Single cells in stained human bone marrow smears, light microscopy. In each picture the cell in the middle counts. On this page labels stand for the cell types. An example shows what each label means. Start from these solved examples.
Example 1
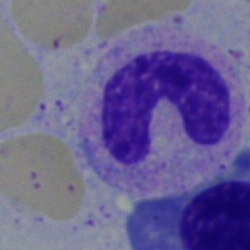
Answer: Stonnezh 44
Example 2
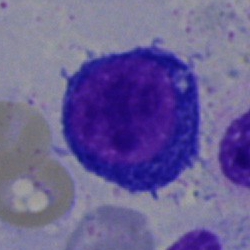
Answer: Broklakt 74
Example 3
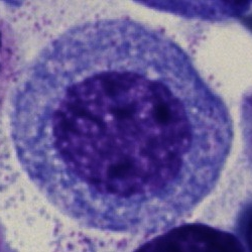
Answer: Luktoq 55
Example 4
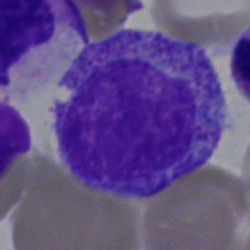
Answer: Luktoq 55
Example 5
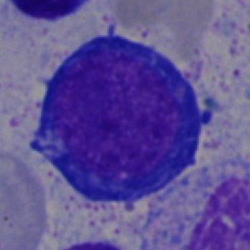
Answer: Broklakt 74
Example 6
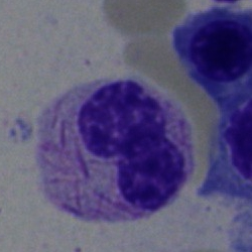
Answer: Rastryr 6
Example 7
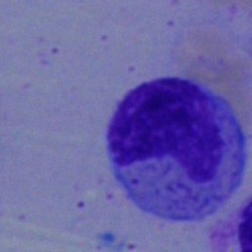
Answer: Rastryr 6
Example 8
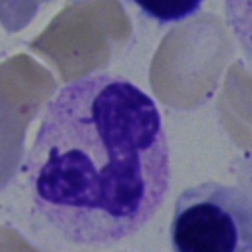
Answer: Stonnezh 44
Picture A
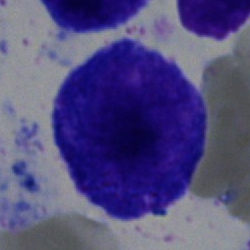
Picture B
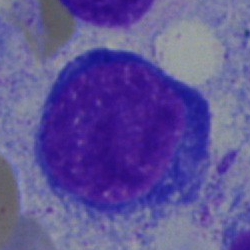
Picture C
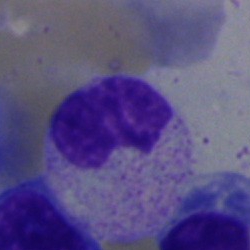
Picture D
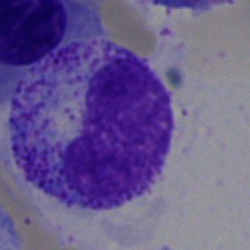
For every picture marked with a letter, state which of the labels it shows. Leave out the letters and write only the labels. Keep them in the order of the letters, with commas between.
Luktoq 55, Broklakt 74, Rastryr 6, Rastryr 6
